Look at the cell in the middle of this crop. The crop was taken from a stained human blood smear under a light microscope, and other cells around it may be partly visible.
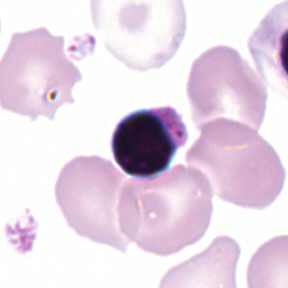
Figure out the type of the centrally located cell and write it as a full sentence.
The cell sitting right in the middle is a normoblast.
